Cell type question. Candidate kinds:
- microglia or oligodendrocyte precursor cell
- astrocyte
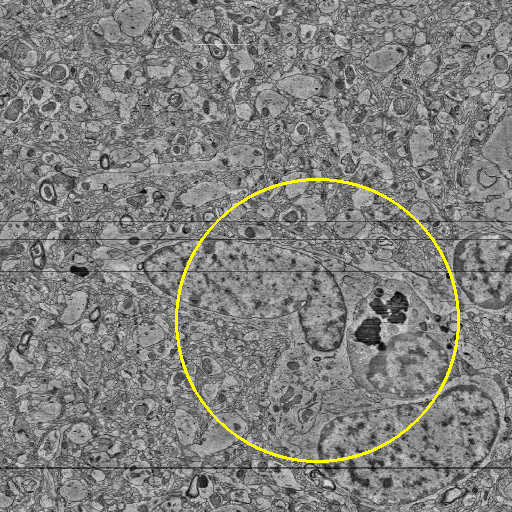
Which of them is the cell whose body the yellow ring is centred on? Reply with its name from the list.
microglia or oligodendrocyte precursor cell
